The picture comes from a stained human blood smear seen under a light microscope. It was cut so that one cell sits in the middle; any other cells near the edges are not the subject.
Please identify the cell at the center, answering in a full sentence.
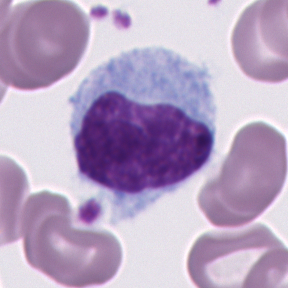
For this crop, the cell in the middle is a monocyte.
